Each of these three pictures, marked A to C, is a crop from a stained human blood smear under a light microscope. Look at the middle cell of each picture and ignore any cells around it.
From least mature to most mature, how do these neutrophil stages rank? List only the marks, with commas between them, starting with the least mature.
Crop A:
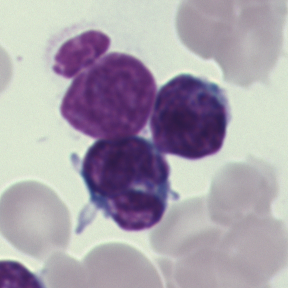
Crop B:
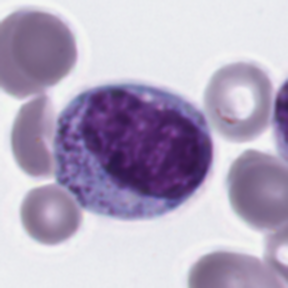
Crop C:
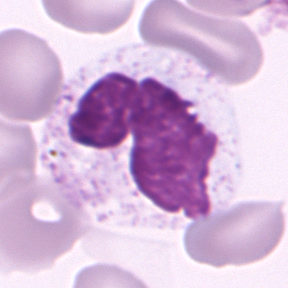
A, B, C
